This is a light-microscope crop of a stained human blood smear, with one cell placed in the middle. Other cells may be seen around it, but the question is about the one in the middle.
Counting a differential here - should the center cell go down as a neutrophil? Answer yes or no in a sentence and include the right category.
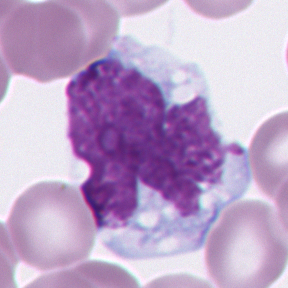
No, the central cell is a monocyte; it should not be labelled a neutrophil.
